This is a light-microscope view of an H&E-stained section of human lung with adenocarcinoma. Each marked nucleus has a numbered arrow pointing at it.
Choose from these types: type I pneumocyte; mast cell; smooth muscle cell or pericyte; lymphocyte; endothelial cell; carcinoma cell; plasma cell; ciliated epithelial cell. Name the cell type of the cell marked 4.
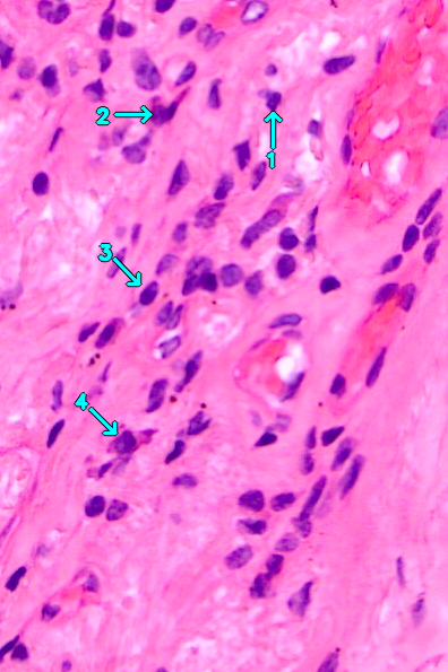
plasma cell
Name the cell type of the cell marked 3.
lymphocyte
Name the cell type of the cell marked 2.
plasma cell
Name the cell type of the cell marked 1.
lymphocyte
